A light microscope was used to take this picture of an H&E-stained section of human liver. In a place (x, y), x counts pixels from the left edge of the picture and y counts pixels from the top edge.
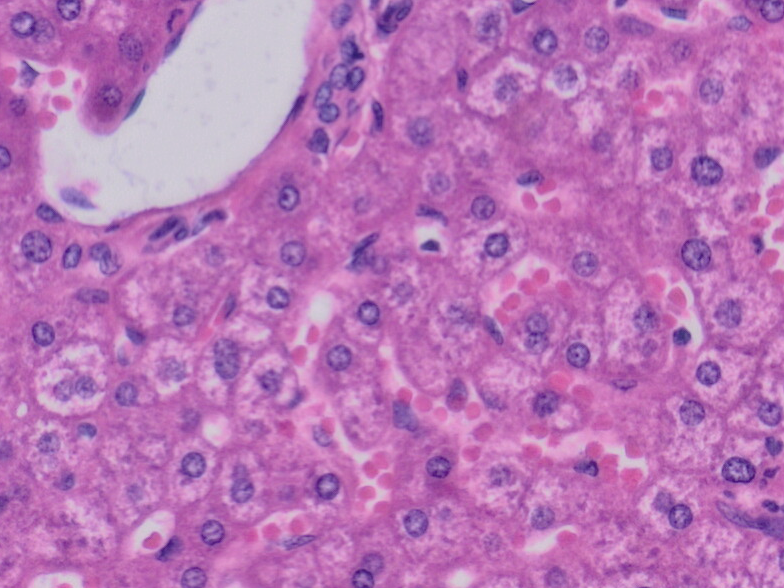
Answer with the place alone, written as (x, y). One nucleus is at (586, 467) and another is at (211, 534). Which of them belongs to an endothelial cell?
(586, 467)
